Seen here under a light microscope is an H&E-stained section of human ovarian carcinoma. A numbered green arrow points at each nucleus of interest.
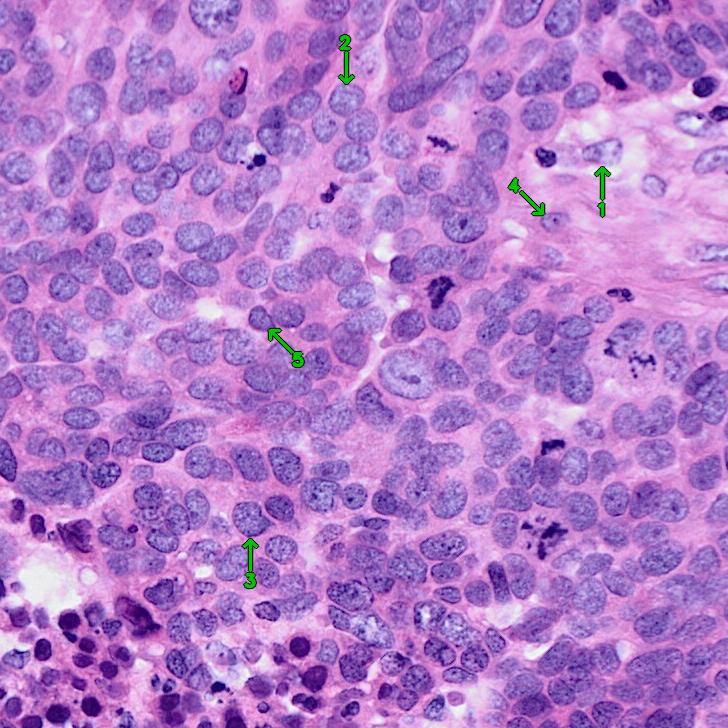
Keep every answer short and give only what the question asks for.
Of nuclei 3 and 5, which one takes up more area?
3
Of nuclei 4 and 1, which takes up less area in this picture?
4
